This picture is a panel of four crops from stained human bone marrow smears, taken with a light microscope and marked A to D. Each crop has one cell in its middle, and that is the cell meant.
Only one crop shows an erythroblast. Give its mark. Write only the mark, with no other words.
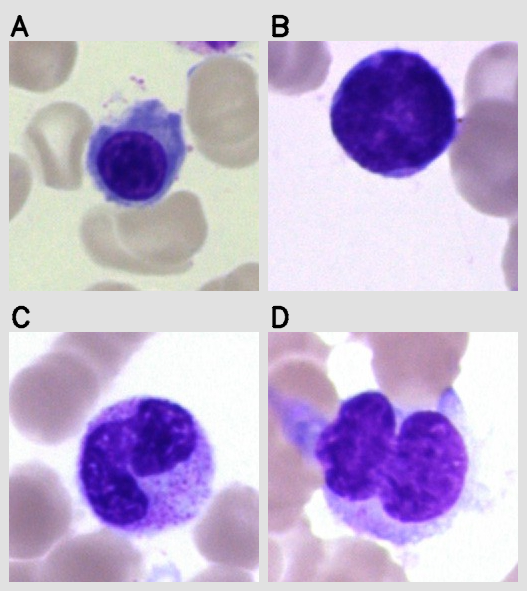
A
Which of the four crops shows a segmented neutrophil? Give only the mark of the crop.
C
